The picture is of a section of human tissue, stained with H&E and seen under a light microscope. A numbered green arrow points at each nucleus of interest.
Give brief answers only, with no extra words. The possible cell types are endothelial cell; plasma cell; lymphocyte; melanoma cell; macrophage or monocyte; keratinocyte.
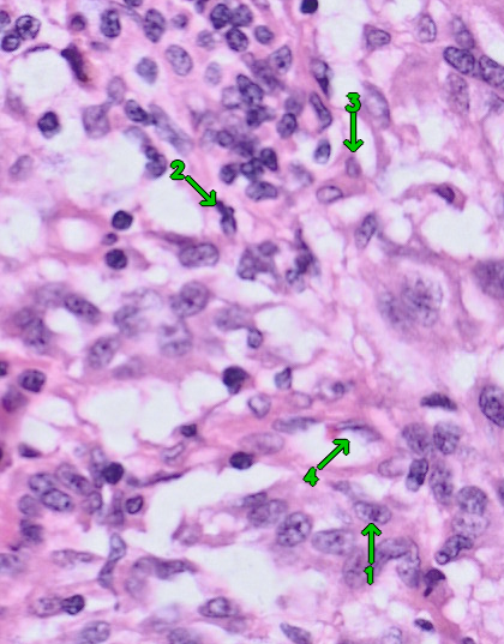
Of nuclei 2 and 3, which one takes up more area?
2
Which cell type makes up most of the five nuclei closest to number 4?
melanoma cell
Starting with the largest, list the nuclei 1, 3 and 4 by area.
1, 4, 3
